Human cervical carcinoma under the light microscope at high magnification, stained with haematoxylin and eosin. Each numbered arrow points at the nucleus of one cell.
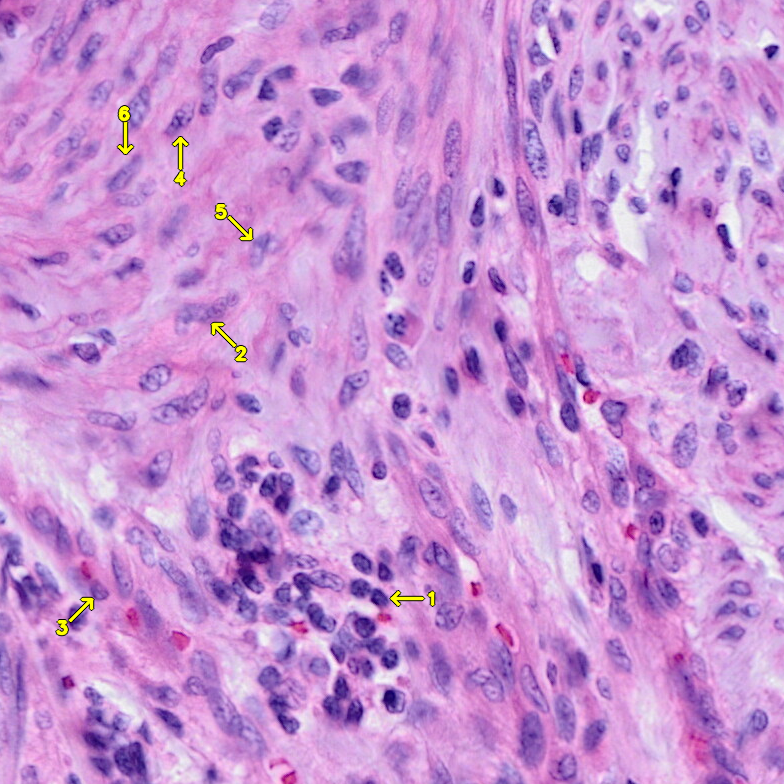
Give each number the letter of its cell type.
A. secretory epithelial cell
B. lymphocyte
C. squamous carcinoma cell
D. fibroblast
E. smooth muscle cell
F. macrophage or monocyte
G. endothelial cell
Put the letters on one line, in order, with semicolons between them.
B; E; G; E; E; E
